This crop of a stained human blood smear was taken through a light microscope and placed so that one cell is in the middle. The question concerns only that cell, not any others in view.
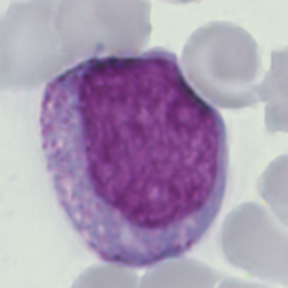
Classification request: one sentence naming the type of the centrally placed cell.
Located at the centre of the crop is a promyelocyte.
